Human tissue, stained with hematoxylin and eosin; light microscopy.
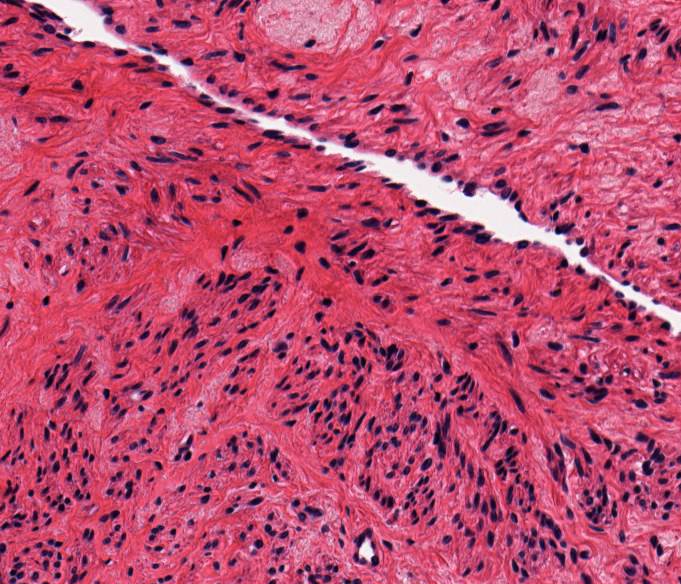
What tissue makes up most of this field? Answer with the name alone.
smooth muscle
